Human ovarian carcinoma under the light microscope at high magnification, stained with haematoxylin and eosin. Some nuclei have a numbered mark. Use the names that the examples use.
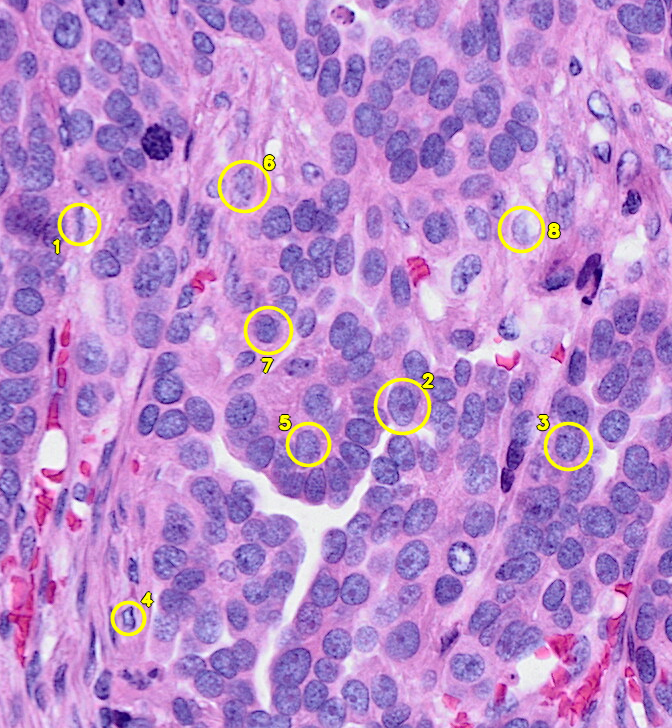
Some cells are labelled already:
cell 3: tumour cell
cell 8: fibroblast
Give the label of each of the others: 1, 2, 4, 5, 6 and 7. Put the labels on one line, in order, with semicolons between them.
fibroblast; tumour cell; fibroblast; tumour cell; fibroblast; tumour cell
